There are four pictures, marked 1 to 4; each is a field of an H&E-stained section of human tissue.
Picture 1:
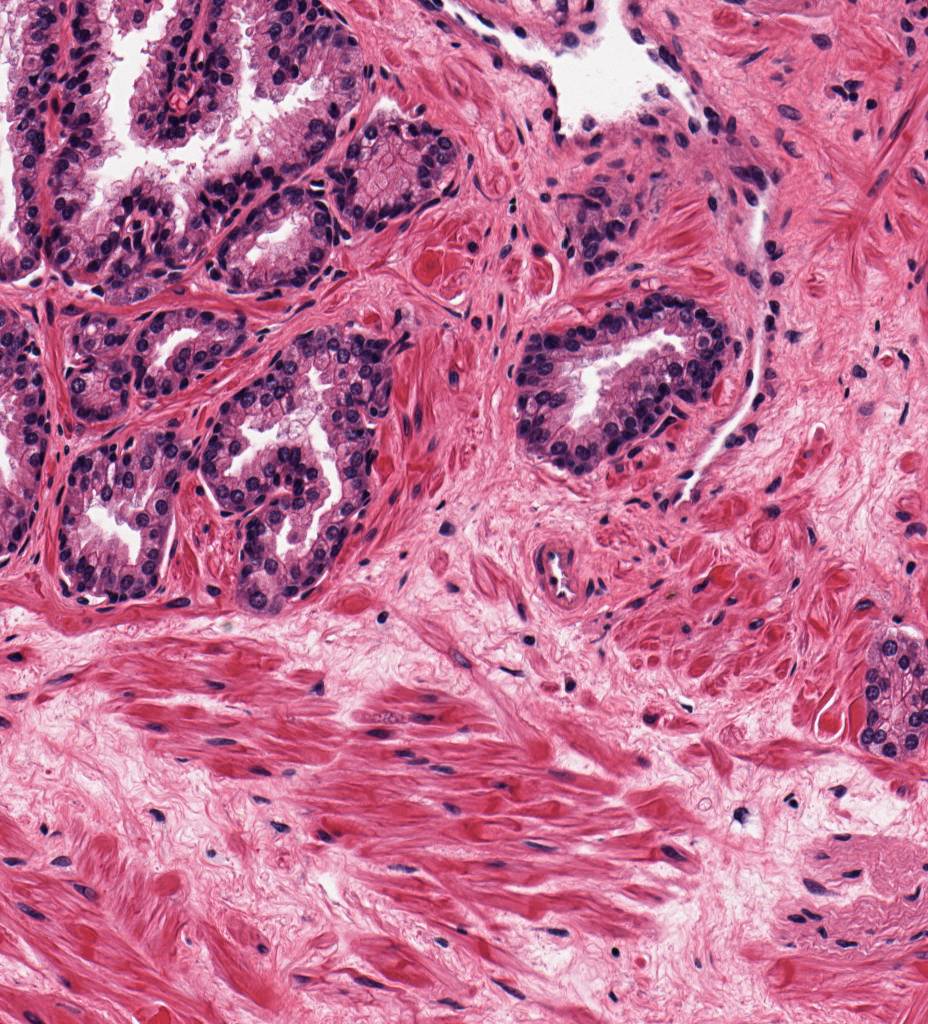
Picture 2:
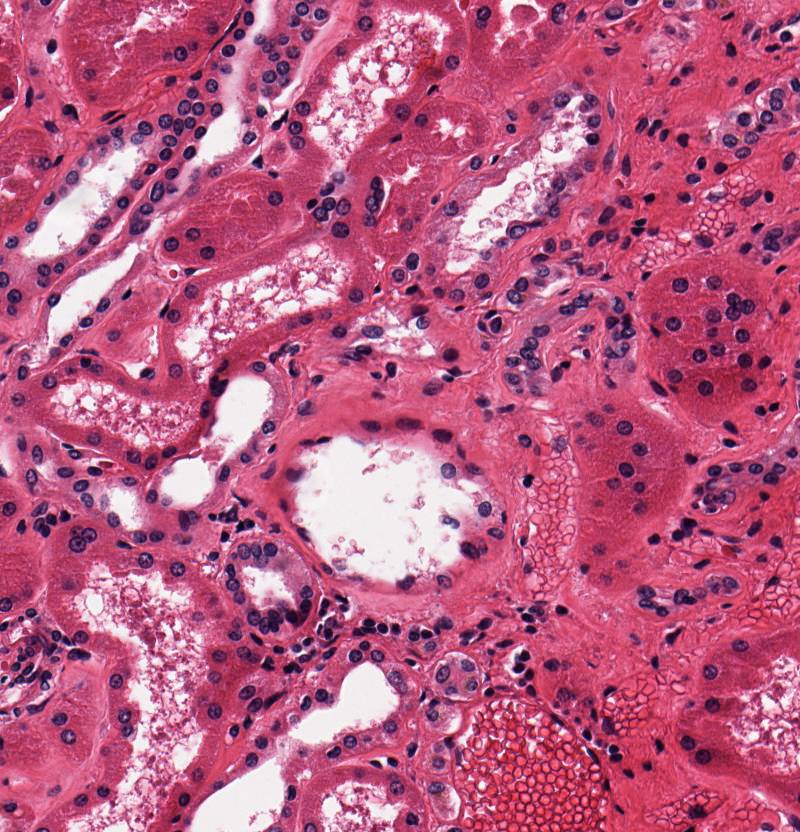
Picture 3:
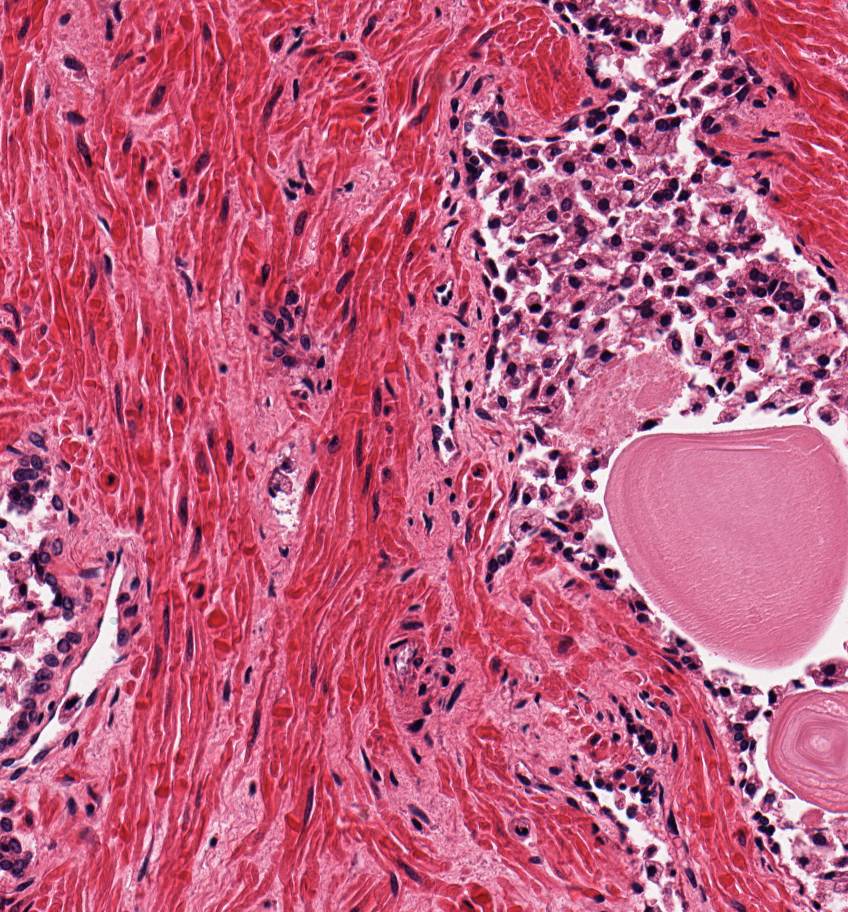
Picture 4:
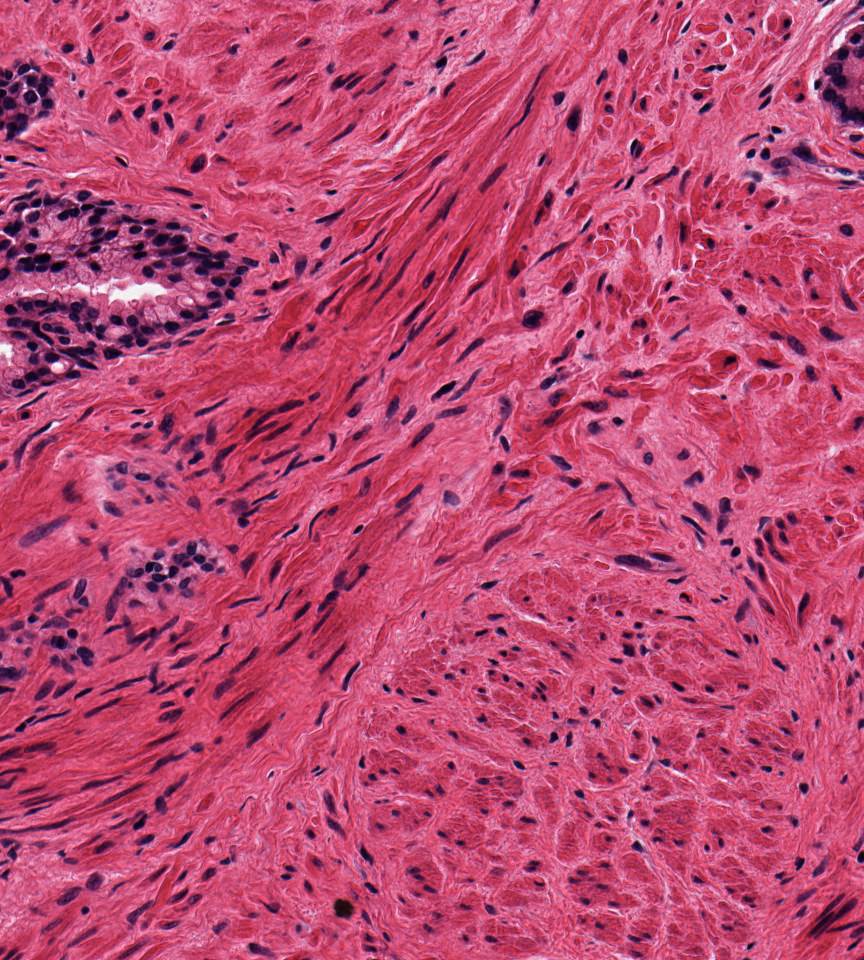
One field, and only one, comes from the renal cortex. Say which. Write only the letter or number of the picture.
2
